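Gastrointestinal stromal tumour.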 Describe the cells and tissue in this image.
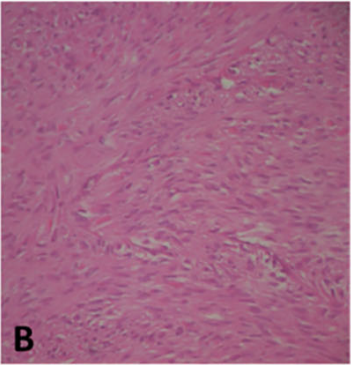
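This shows a cellular proliferation of spindle cells arranged in bundles that cross one another in different directions. The cells have pink cytoplasm and elongated dark nuclei, with no gland formation.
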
